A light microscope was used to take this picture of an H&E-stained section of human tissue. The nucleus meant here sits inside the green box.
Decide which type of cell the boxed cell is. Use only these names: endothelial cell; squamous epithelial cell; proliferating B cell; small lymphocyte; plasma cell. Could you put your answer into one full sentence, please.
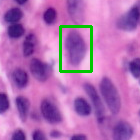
Within this tissue, the boxed cell is an endothelial cell.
